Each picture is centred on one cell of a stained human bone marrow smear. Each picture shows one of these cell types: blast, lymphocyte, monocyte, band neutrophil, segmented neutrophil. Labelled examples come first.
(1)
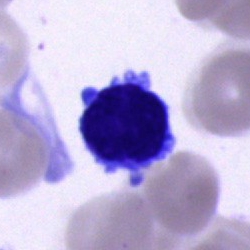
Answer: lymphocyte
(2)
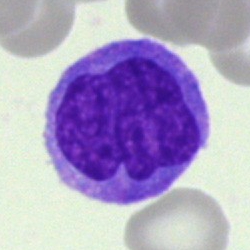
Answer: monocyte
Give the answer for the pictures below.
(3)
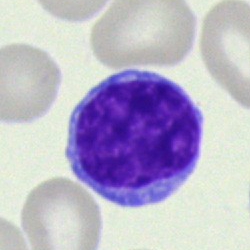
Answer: lymphocyte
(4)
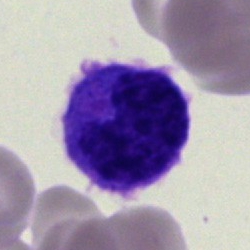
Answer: monocyte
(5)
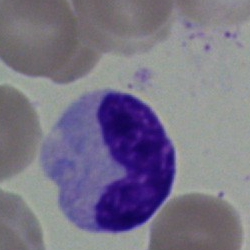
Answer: band neutrophil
